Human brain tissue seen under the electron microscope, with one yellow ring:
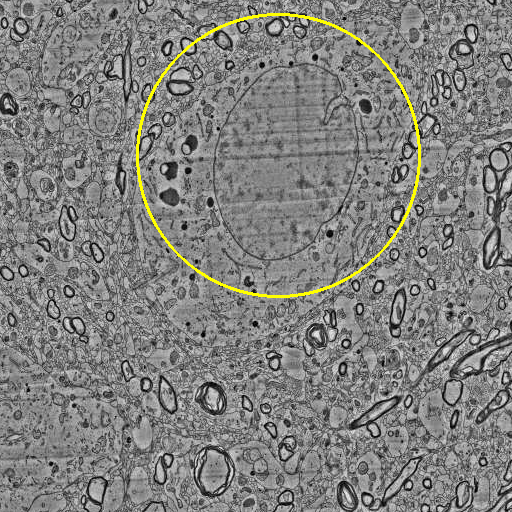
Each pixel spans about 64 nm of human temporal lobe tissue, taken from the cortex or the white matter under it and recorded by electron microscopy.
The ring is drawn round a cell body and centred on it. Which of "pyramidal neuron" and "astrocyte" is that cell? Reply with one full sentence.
The picture shows a pyramidal neuron at the very centre of the yellow ring.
